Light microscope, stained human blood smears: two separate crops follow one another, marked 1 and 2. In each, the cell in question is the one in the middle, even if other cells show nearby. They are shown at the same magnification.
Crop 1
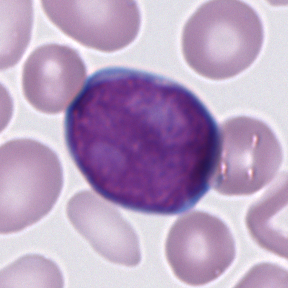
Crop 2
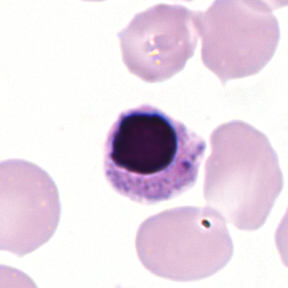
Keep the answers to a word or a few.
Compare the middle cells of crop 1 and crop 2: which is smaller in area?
2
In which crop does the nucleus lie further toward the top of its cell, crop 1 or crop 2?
2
